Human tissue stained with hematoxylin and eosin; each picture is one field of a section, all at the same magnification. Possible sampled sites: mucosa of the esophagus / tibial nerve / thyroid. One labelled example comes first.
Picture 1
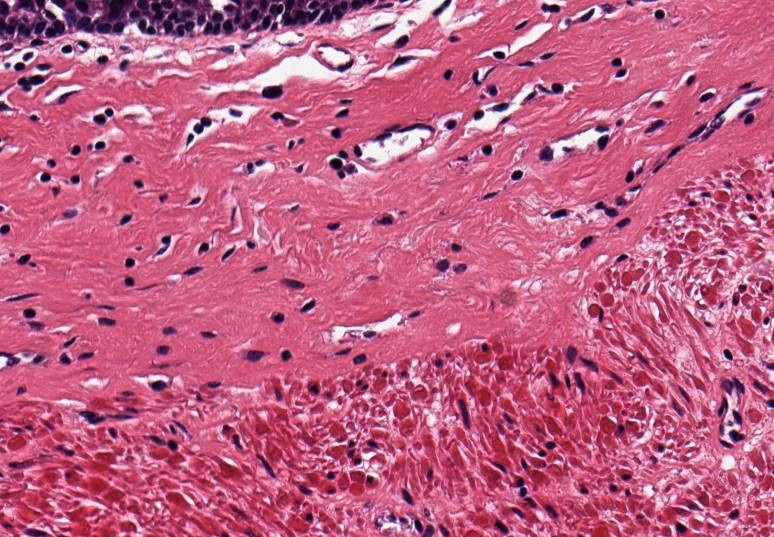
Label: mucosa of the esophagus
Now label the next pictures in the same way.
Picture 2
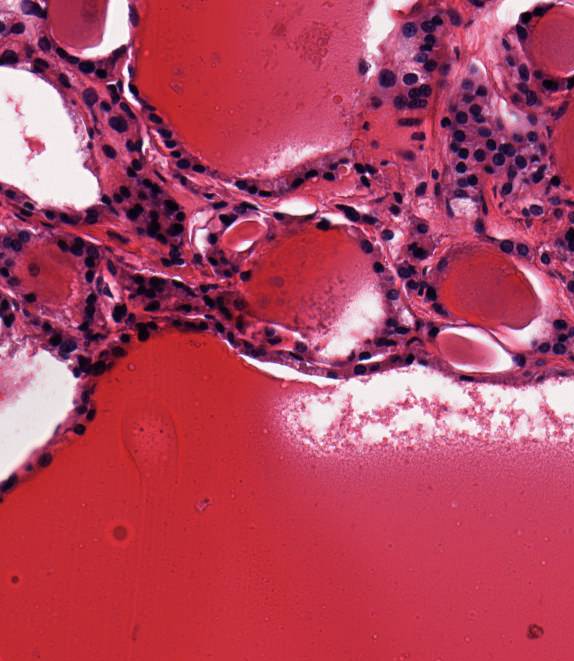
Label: thyroid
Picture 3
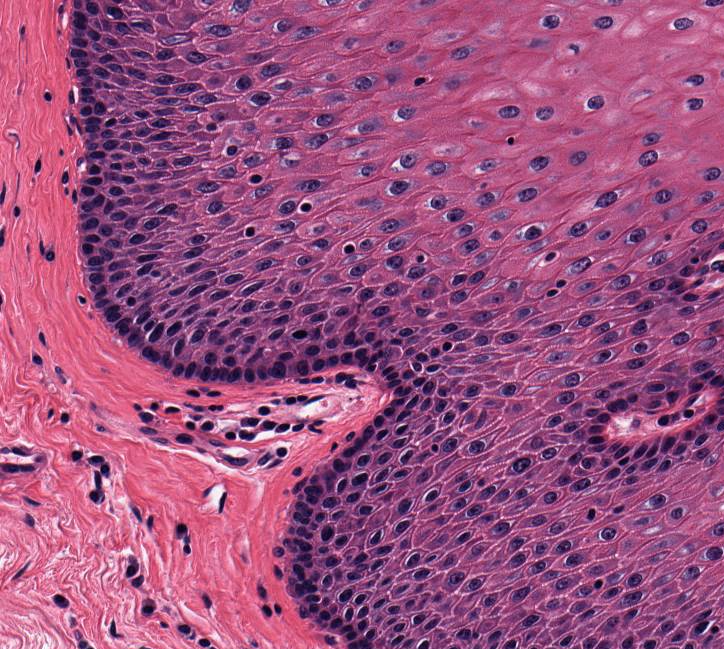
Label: mucosa of the esophagus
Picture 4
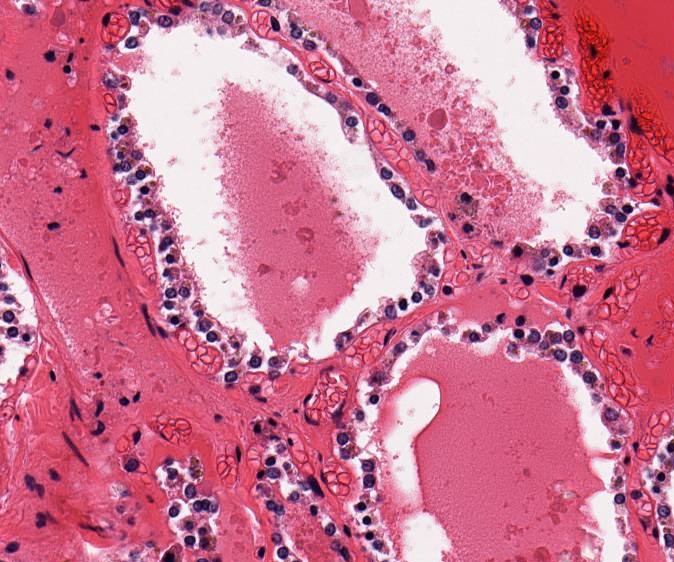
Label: thyroid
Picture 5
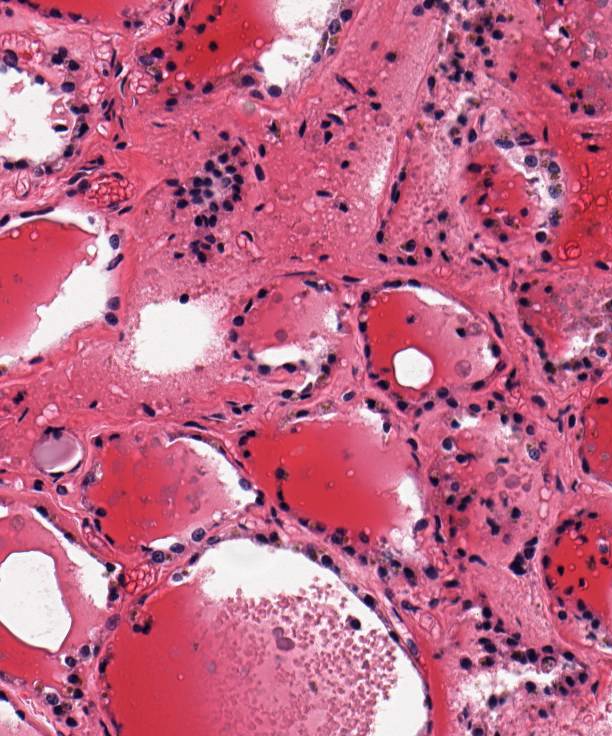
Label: thyroid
